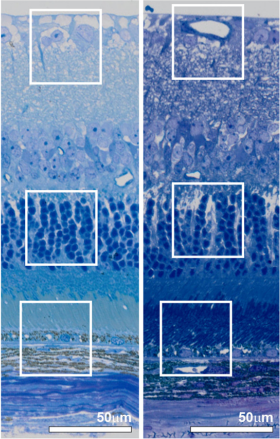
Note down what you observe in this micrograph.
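These are two side-by-side cross-sections through the retina and the tissues behind it, stained in shades of blue. At the top, a thin fibre layer overlies a row of large, pale ganglion cells with round nuclei, followed by a broad, finely vacuolated inner plexiform layer. Below this, the inner nuclear layer holds several rows of rounded nuclei, separated by a thin plexiform band from the outer nuclear layer of densely packed, dark, round photoreceptor nuclei. In the right-hand section the outer nuclear layer looks looser, with pale gaps between the nuclei.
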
